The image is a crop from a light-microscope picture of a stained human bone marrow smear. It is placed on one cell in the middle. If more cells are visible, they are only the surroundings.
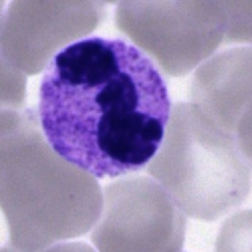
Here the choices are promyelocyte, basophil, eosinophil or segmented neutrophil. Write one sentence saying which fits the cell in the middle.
The cell positioned in the middle of the field is a segmented neutrophil.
